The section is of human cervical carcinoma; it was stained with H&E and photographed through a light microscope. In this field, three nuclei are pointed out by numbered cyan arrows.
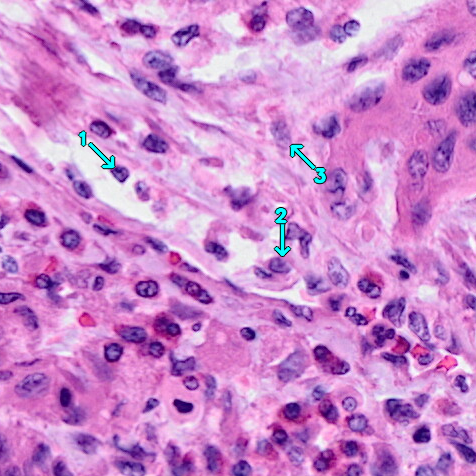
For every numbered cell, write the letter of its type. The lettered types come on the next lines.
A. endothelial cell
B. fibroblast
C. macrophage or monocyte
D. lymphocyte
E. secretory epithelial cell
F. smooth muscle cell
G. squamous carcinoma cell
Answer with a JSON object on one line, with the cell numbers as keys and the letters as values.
{"1": "D", "2": "C", "3": "B"}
